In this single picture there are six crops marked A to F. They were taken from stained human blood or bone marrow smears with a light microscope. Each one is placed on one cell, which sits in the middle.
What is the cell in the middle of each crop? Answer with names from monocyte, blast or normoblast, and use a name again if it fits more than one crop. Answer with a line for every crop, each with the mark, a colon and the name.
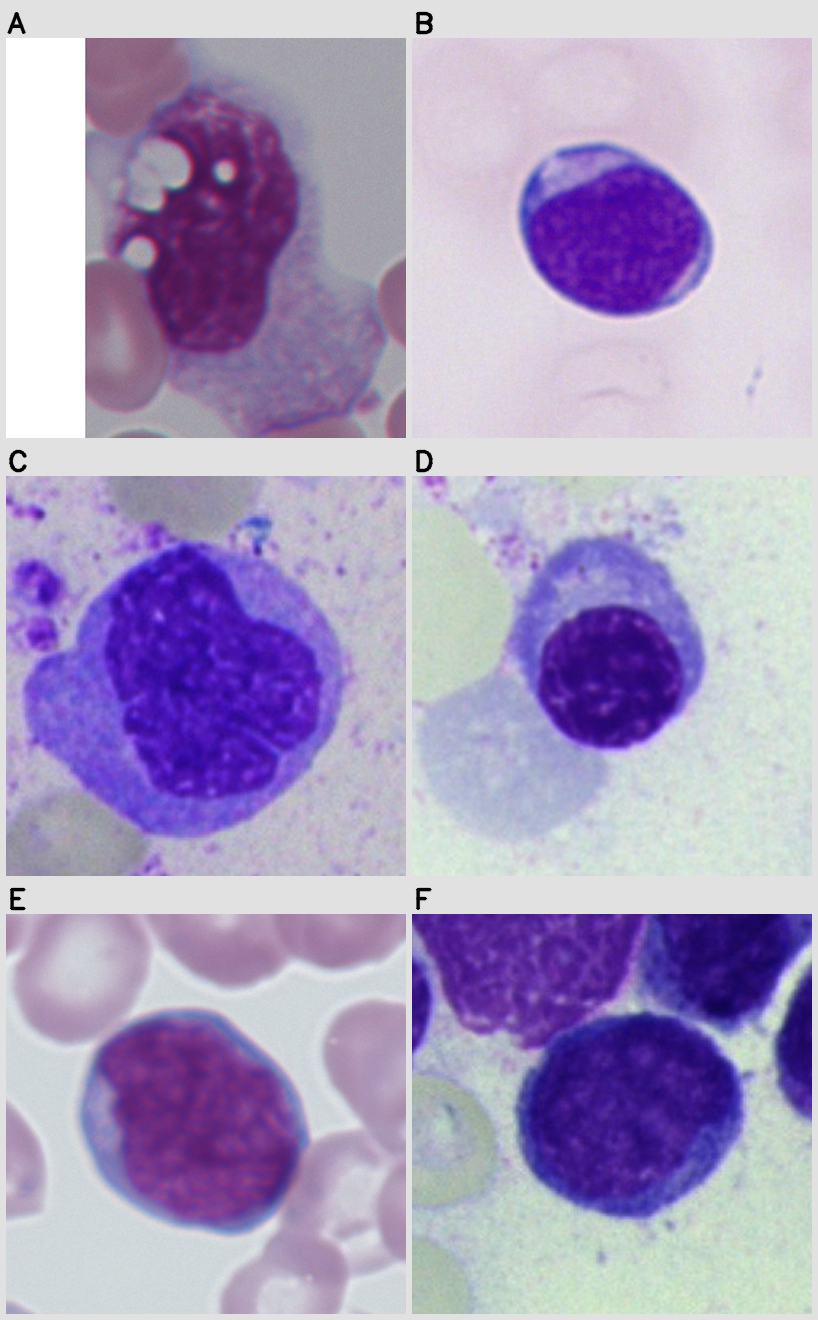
A: monocyte
B: blast
C: monocyte
D: normoblast
E: blast
F: blast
